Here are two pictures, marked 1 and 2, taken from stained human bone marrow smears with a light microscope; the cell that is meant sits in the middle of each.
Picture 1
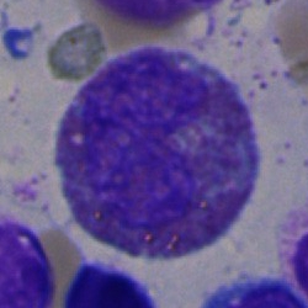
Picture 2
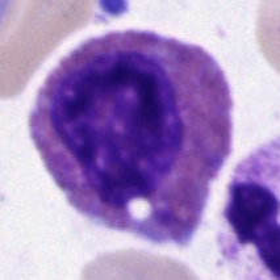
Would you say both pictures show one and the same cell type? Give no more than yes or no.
yes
